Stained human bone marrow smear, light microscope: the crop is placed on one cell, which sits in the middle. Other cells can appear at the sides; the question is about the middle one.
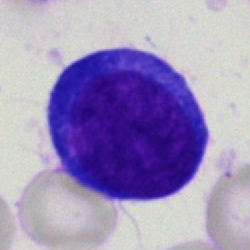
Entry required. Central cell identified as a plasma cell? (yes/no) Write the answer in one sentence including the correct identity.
No, it isn't a plasma cell; what sits in the middle is a proerythroblast.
